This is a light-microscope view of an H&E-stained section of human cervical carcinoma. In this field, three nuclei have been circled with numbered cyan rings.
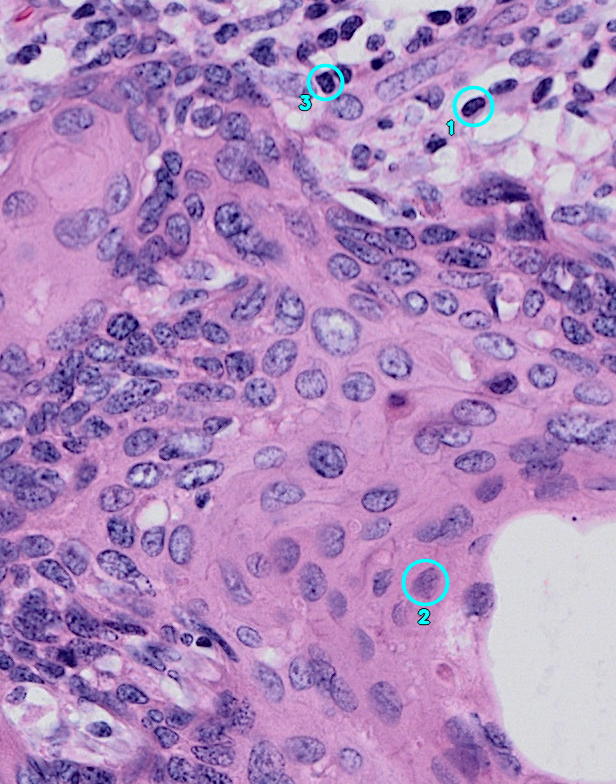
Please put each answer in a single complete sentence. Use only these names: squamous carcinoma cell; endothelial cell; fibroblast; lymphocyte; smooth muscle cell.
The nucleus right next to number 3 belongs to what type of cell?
Closest to number 3 lies the nucleus of a lymphocyte.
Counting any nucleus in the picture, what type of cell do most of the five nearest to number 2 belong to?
The majority of the five nuclei closest to number 2 belong to squamous carcinoma cells.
